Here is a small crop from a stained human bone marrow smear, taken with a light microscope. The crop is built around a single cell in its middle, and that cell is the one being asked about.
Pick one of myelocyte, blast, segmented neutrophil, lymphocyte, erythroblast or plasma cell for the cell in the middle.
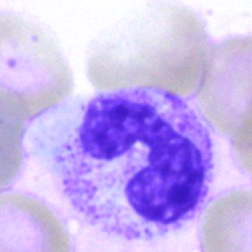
segmented neutrophil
